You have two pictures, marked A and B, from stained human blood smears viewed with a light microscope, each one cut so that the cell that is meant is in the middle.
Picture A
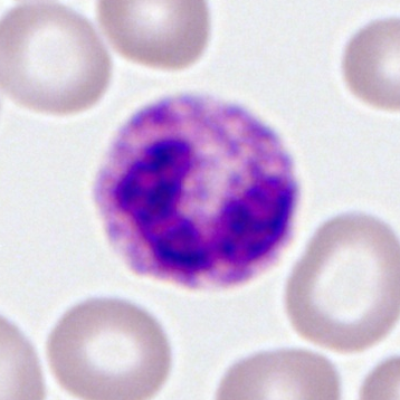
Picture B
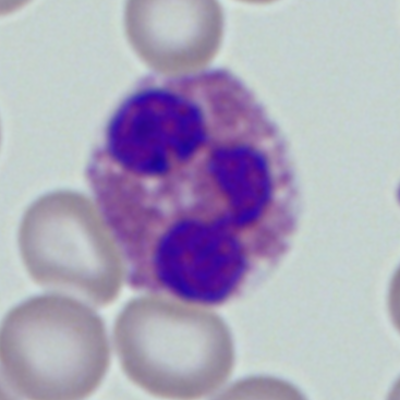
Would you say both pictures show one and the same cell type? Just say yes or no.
yes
